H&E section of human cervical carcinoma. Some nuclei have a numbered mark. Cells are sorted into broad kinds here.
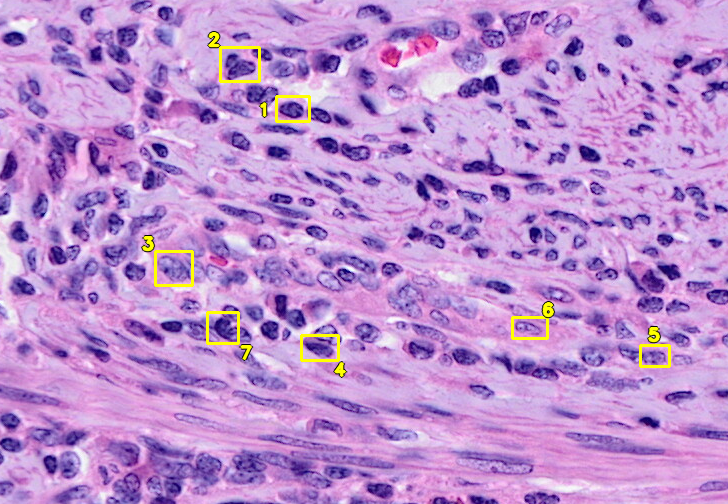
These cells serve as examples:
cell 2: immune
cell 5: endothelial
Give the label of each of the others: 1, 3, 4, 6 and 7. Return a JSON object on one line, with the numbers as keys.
{"1": "immune", "3": "endothelial", "4": "immune", "6": "endothelial", "7": "immune"}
